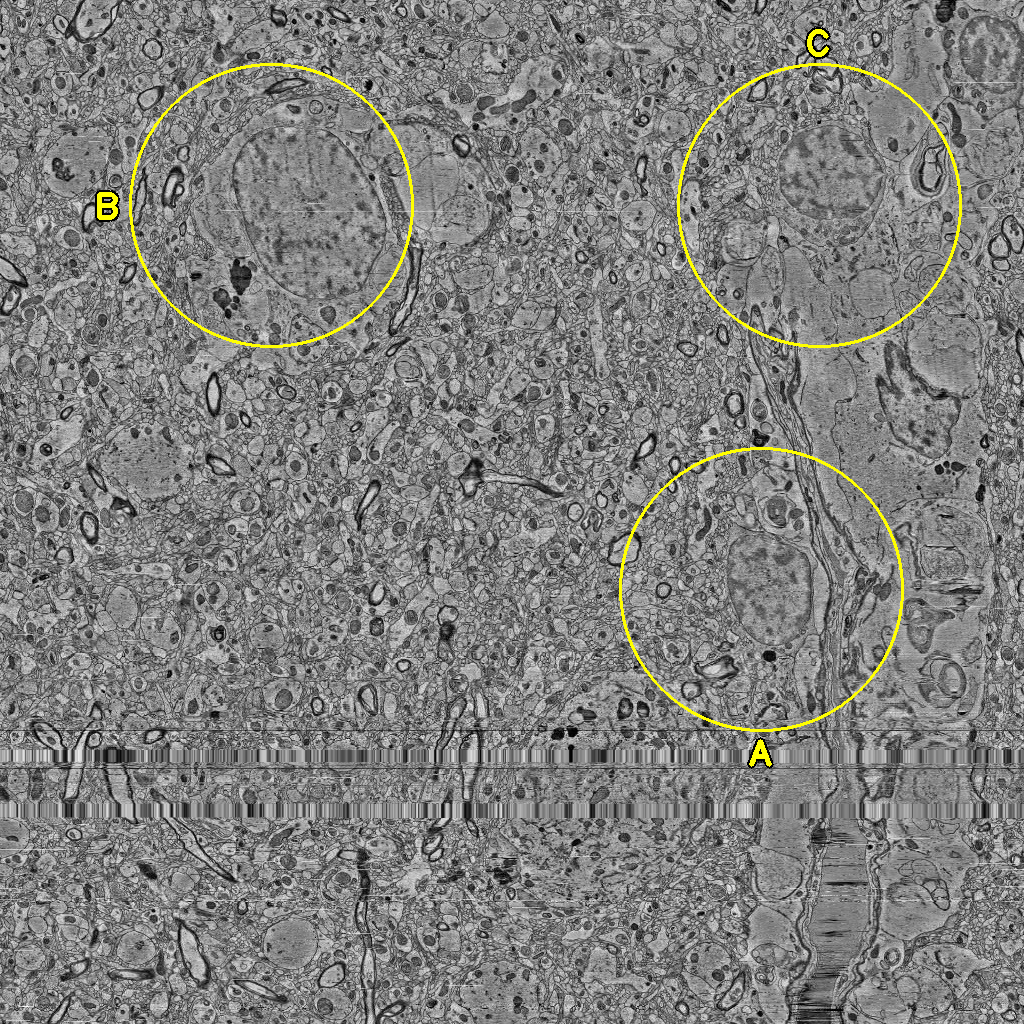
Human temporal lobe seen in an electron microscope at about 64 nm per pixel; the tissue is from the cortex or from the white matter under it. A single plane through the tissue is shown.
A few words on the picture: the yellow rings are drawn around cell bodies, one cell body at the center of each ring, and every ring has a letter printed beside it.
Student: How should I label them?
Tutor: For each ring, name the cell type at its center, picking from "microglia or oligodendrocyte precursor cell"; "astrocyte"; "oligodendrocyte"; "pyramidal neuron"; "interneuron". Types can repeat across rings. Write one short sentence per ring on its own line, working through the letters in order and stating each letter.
In ring A, the central cell is an oligodendrocyte.
In ring B, the central cell is an astrocyte.
In ring C, the central cell is an oligodendrocyte.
